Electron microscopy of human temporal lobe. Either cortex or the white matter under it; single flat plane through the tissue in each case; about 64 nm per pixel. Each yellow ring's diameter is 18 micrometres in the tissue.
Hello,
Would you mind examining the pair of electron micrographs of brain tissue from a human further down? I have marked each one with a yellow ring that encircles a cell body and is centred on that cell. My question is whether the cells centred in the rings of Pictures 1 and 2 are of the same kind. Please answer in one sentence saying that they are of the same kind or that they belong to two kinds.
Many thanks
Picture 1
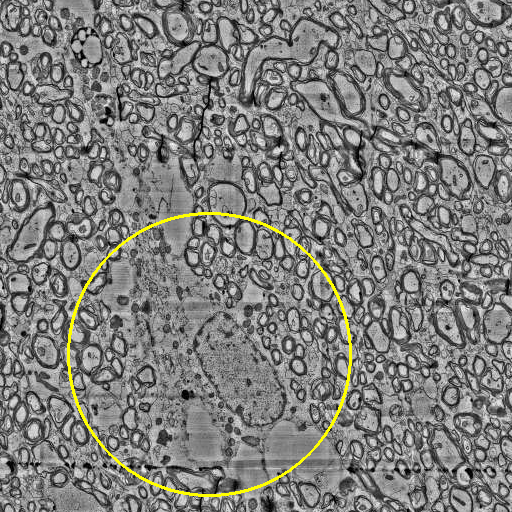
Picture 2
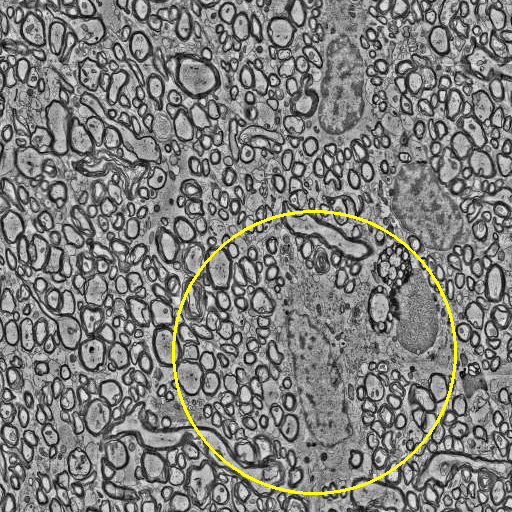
In Pictures 1 and 2, the cells at the heart of the rings are of the same kind.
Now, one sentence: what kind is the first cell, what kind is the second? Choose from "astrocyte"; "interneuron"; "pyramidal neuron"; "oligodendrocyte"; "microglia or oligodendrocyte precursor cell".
Both pictures show an astrocyte at the centre of the ring.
